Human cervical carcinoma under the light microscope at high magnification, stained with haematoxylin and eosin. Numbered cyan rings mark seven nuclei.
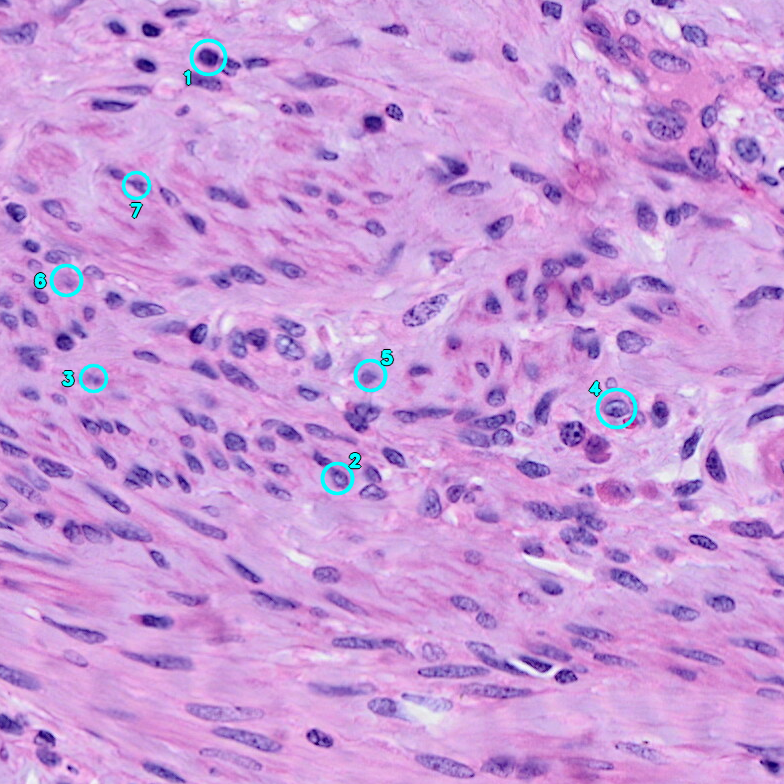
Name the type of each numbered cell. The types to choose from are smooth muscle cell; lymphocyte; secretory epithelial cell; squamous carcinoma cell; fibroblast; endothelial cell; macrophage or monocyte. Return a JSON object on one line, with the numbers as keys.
{"1": "lymphocyte", "2": "smooth muscle cell", "3": "smooth muscle cell", "4": "endothelial cell", "5": "fibroblast", "6": "smooth muscle cell", "7": "smooth muscle cell"}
